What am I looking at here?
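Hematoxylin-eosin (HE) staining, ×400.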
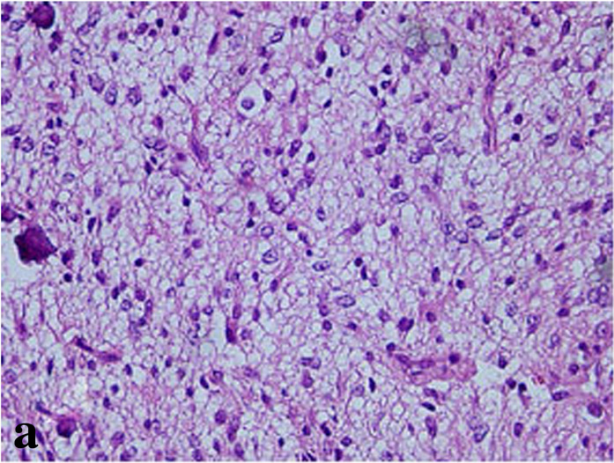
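A lesion of fairly uniform cells with round to oval dark purple nuclei, many of them surrounded by clear perinuclear halos, giving an oligodendroglioma-like look. The cells lie in a pale pink, finely vacuolated fibrillary background with a few delicate vessels, and scattered dark purple rounded calcified bodies are present.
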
